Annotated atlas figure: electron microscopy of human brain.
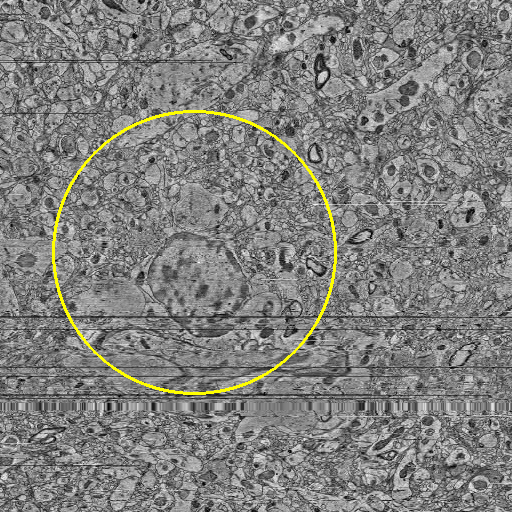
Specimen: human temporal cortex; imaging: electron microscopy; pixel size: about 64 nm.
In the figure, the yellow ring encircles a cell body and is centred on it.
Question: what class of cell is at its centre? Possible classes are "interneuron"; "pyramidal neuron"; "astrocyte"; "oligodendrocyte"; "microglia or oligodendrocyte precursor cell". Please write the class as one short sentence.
The yellow ring is drawn around a microglial cell or oligodendrocyte precursor cell.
